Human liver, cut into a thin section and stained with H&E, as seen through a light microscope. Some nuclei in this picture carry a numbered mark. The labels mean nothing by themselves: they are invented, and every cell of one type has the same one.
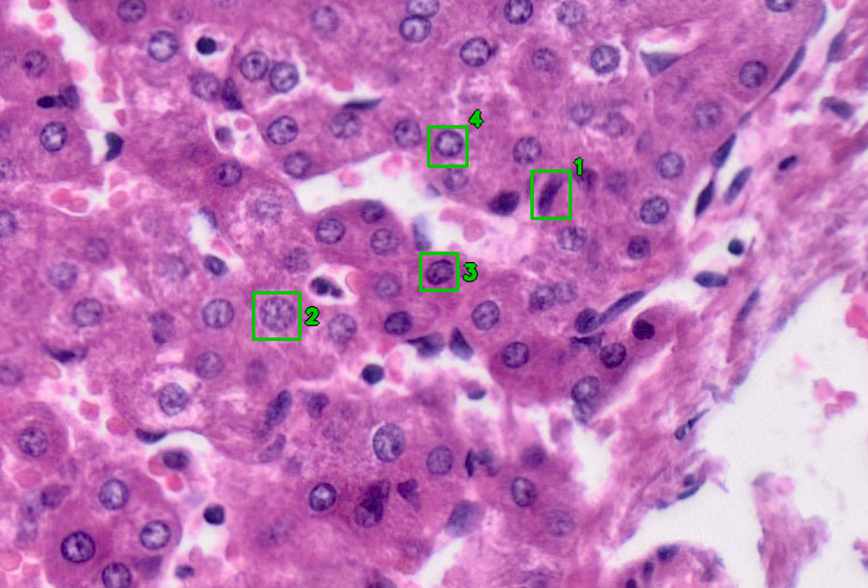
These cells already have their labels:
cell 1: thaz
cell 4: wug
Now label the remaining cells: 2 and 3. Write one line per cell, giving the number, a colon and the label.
2: wug
3: wug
